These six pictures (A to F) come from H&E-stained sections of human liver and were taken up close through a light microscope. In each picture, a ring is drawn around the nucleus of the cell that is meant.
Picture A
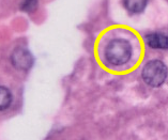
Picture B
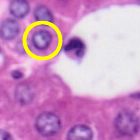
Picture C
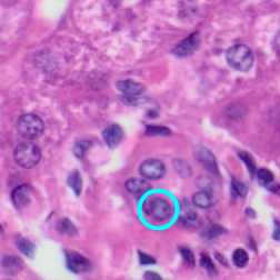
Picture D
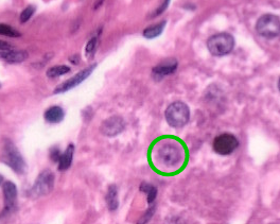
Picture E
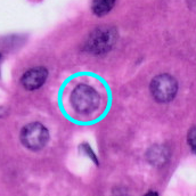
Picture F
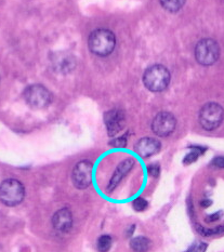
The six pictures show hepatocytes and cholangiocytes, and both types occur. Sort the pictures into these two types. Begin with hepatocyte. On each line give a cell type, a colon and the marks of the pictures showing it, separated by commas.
hepatocyte: A, D, E
cholangiocyte: B, C, F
